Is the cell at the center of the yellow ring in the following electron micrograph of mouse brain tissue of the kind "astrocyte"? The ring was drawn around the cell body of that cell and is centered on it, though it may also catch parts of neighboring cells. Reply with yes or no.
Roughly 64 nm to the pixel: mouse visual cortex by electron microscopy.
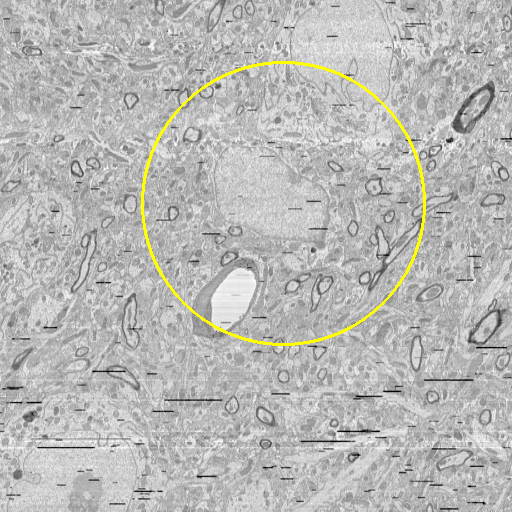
Yes, that is its kind.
